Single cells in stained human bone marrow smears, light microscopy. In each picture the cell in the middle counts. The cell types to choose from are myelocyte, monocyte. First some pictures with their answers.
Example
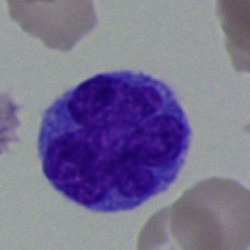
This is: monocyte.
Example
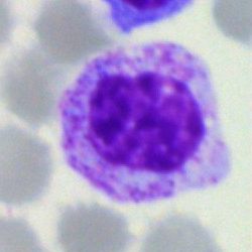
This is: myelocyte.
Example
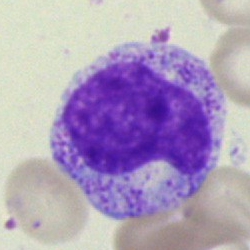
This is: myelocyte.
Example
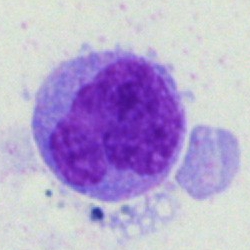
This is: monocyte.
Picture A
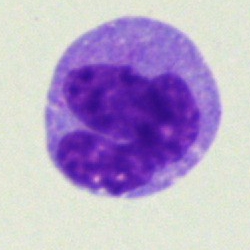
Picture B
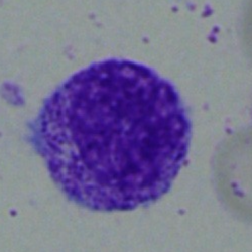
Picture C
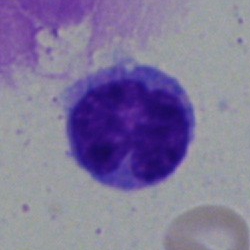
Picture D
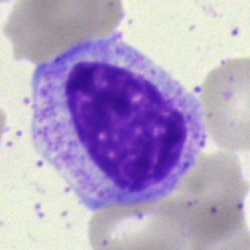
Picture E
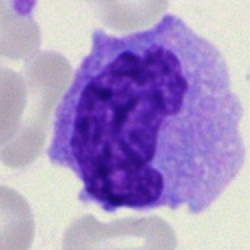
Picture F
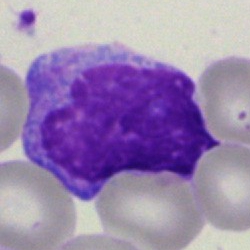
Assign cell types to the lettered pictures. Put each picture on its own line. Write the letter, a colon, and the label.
A: monocyte.
B: myelocyte.
C: monocyte.
D: myelocyte.
E: monocyte.
F: monocyte.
